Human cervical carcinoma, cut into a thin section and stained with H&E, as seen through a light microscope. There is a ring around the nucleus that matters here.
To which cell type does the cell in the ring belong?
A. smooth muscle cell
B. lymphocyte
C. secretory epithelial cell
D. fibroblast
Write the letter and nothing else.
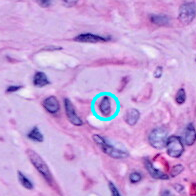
A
